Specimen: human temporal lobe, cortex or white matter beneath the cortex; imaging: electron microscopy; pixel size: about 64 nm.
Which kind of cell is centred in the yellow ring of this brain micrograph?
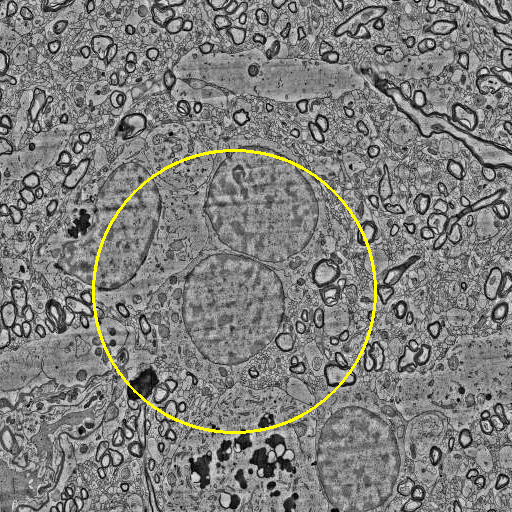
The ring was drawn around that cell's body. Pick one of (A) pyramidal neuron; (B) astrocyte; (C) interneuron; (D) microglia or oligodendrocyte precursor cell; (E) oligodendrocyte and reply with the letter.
E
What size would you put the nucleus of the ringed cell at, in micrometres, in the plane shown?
In this plane the nucleus measures roughly 7 micrometres across.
